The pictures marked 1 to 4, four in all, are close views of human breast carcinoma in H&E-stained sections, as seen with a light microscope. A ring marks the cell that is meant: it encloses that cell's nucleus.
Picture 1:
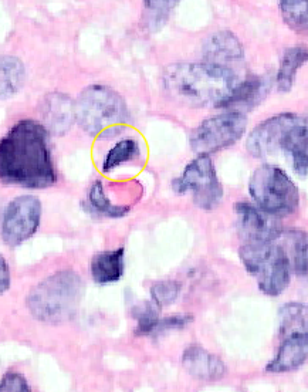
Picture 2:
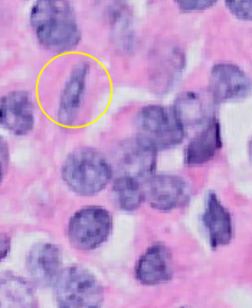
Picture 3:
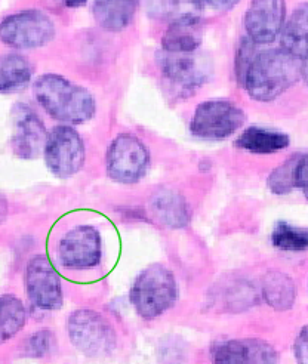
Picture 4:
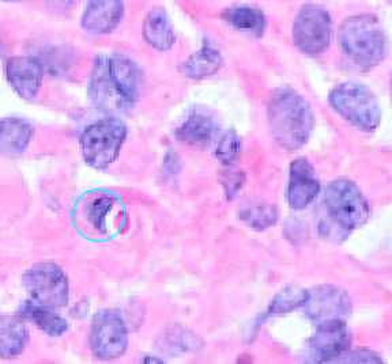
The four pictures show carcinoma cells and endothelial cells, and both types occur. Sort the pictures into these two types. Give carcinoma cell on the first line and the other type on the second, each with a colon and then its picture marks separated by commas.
carcinoma cell: 3
endothelial cell: 1, 2, 4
